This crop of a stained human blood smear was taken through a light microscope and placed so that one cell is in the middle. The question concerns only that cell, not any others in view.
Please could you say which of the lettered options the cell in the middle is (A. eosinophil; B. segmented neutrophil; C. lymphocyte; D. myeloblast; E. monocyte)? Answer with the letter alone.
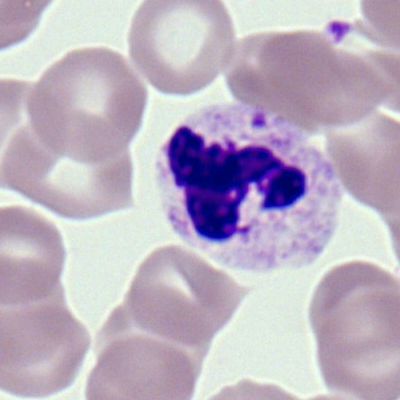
B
